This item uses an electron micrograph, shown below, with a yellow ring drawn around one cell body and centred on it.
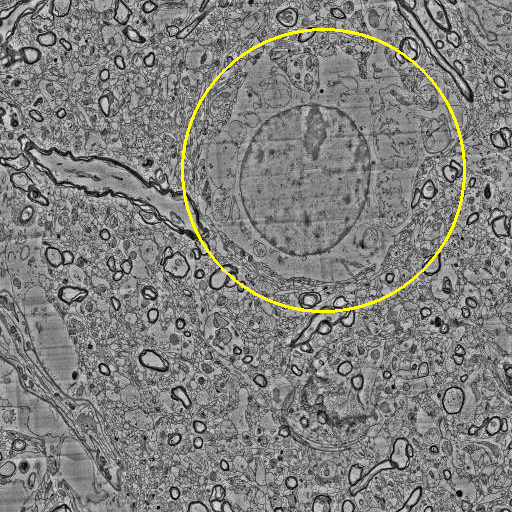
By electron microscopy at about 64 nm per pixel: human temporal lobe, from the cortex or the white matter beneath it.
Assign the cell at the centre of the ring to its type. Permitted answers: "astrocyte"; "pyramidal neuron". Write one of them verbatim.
astrocyte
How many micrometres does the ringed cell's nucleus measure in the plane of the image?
The nucleus has a long axis of about 10 micrometres and a short axis of about 8 micrometres in this plane.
